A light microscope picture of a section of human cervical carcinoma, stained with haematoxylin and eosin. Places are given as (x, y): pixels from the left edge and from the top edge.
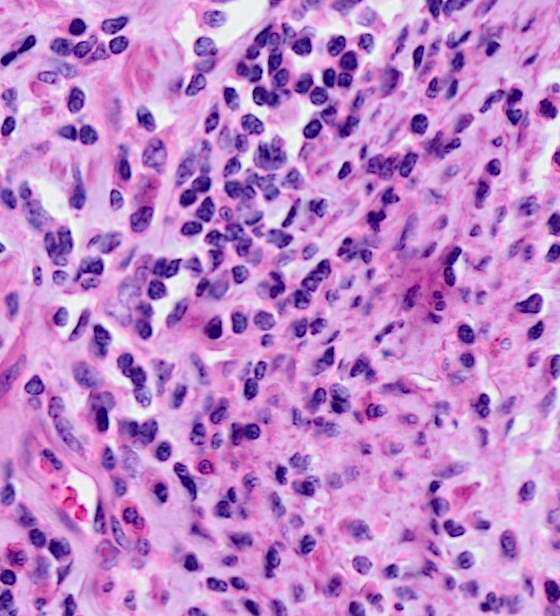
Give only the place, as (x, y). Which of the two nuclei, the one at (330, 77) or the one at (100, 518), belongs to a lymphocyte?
(330, 77)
